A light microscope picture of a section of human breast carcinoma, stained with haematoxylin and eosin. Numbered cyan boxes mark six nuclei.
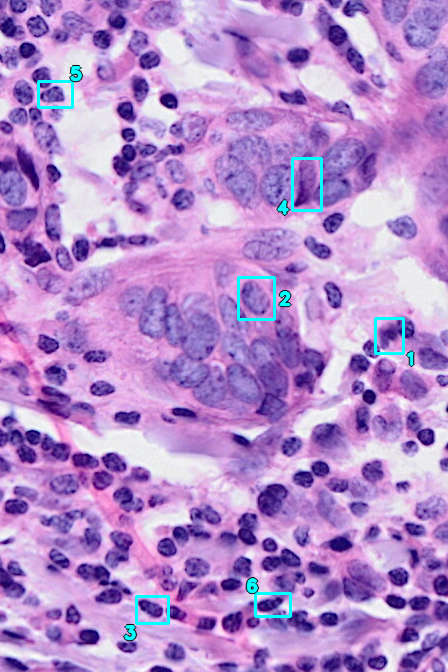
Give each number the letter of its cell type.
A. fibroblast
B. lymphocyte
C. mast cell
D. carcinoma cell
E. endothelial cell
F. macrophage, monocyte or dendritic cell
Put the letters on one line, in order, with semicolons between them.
B; D; B; D; B; B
